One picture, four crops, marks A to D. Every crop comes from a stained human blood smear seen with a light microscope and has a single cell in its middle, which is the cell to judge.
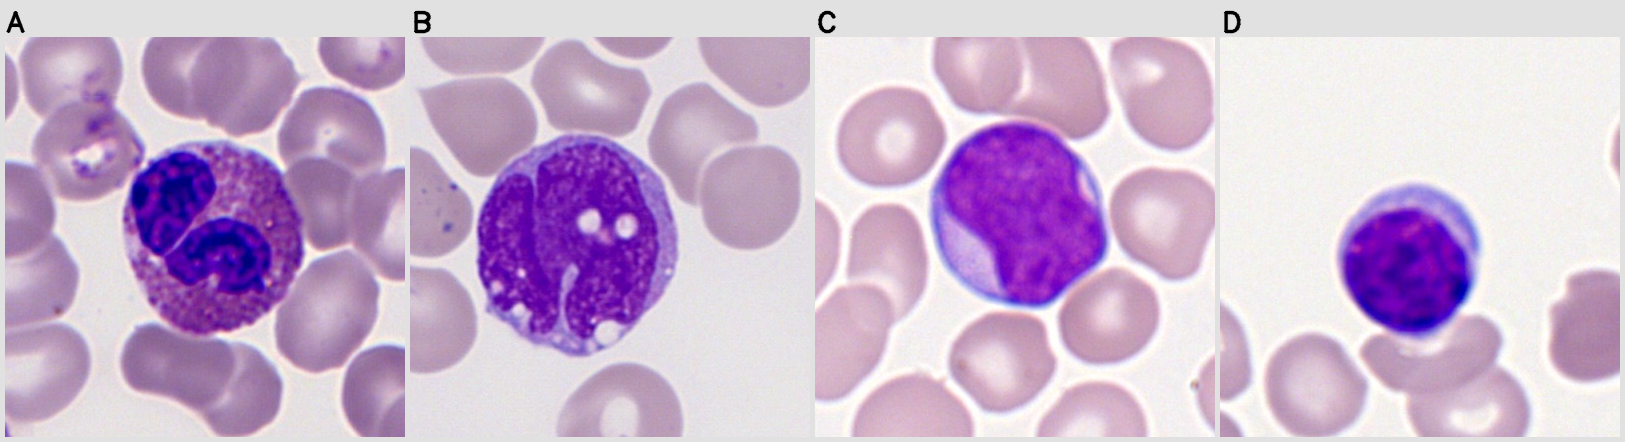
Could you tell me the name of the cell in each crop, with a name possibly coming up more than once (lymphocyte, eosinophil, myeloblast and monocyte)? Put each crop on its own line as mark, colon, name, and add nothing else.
A: eosinophil
B: monocyte
C: myeloblast
D: lymphocyte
